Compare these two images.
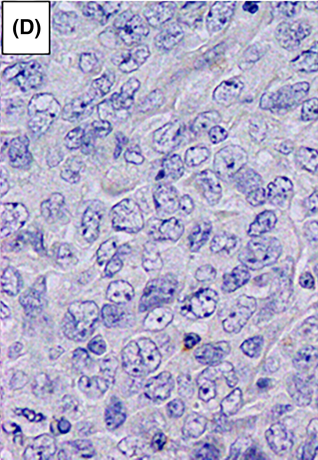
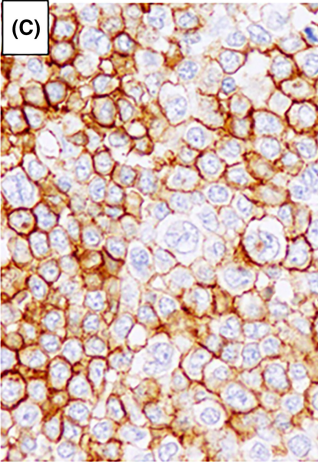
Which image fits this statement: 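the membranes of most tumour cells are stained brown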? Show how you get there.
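The second image. First image: the cells show blue nuclei and pale cytoplasm with no brown at their borders. Second image: most cells are ringed by a strong brown line along their borders.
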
